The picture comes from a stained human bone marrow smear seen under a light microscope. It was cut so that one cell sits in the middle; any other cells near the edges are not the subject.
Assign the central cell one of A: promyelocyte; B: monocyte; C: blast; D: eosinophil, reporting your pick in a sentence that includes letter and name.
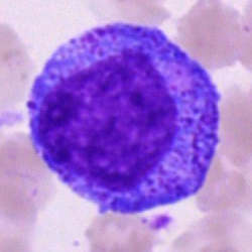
Option A is correct here, and the cell in the middle is a promyelocyte.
